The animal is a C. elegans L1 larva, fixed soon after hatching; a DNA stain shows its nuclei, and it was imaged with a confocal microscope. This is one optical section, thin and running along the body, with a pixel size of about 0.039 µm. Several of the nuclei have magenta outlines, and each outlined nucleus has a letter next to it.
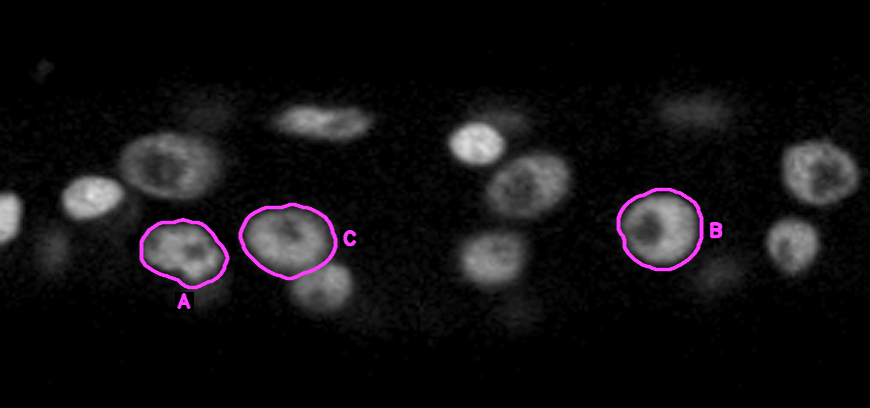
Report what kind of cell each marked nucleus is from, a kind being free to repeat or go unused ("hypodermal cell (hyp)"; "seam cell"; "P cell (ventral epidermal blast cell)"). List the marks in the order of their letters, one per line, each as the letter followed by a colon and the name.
A: P cell (ventral epidermal blast cell)
B: seam cell
C: seam cell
